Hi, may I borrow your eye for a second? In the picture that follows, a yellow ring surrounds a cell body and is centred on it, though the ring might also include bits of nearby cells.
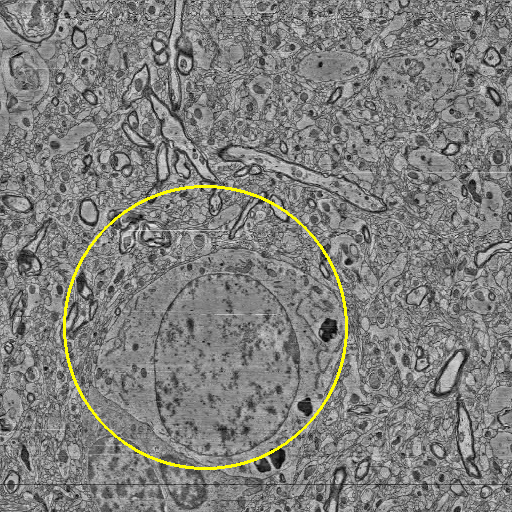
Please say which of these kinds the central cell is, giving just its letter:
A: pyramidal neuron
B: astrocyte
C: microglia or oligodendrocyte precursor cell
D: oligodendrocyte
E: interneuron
A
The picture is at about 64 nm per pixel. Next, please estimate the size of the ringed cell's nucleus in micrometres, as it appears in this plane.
Approximately 13 by 9 micrometers in this plane.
